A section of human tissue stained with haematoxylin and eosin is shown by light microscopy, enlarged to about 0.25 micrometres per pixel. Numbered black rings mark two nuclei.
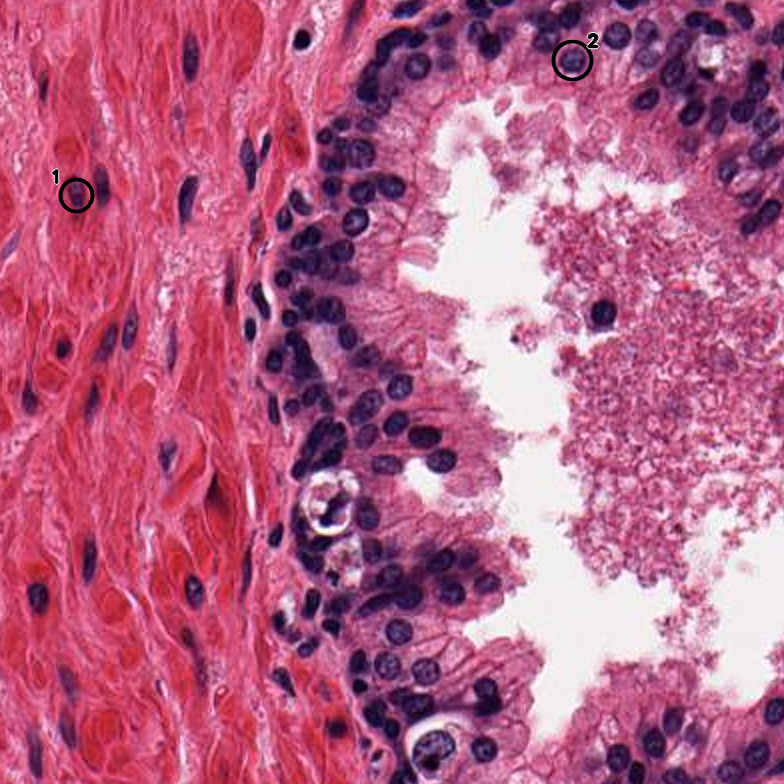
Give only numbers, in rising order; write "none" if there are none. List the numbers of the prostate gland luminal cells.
2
